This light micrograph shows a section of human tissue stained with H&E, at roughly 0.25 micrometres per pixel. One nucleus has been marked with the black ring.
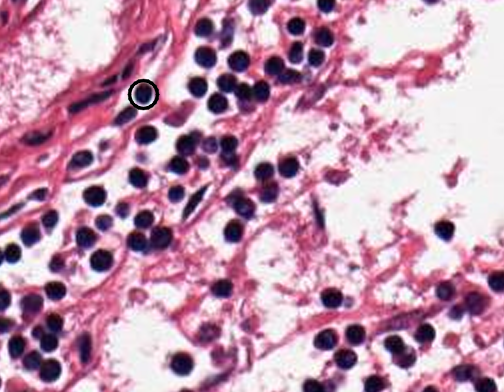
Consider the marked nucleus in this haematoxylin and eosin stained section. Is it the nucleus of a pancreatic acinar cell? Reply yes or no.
no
